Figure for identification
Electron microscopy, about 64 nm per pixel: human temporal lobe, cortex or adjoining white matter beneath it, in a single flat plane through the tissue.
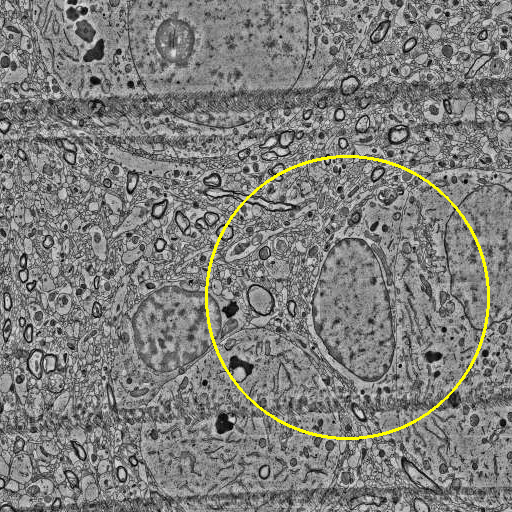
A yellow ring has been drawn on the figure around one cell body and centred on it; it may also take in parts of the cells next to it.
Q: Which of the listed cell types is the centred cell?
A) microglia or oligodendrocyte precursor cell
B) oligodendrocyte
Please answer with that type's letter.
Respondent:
A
